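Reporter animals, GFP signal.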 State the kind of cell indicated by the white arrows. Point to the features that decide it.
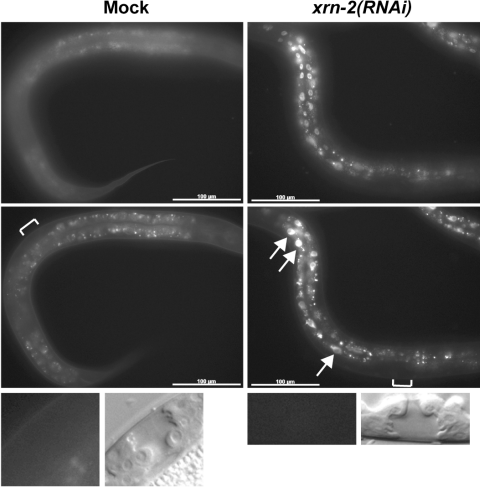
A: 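Intestinal. The arrows point to large bright round nuclei. These nuclei lie along the centre of the body.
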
